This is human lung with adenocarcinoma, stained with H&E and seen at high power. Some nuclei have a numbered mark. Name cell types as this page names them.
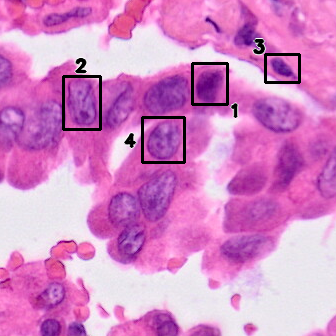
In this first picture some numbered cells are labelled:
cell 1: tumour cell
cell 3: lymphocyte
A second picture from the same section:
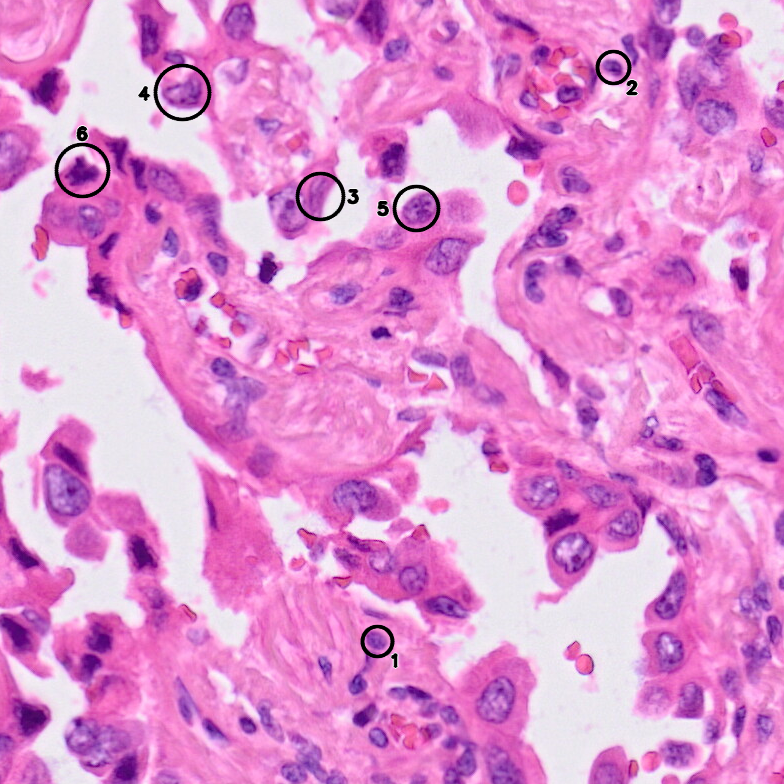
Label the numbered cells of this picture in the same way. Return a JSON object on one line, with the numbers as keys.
{"1": "lymphocyte", "2": "lymphocyte", "3": "tumour cell", "4": "tumour cell", "5": "tumour cell", "6": "tumour cell"}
